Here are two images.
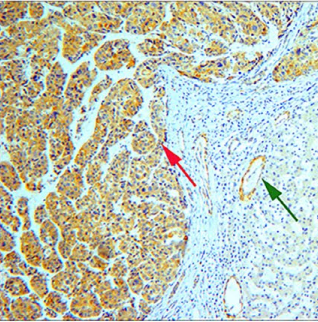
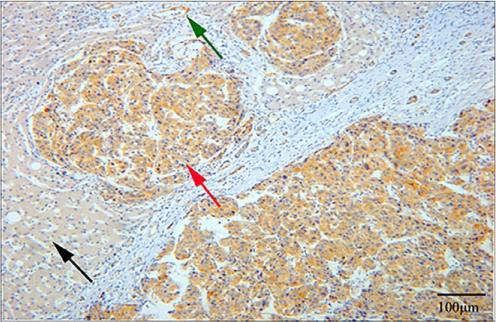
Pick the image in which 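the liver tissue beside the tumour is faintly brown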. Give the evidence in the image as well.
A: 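Second image: the liver tissue outside the tumour nodules has a light brownish tint. First image: the liver tissue on the right is pale yellowish with hardly any brown.
Hence: the second image.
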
